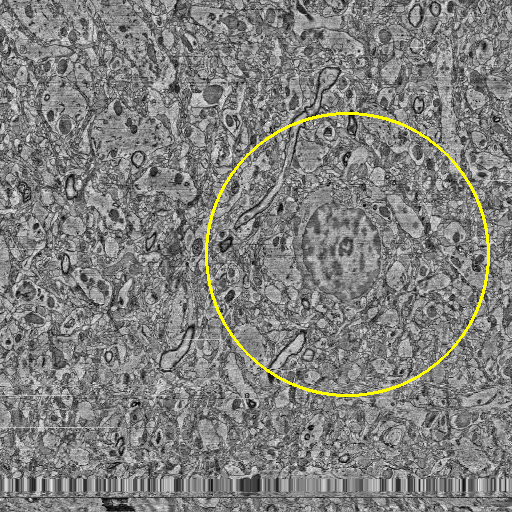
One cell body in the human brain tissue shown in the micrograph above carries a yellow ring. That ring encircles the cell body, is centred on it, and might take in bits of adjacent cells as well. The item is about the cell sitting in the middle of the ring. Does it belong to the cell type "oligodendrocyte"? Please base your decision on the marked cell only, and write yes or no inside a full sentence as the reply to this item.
Yes, the cell at the middle of the ring in the micrograph is of this kind.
